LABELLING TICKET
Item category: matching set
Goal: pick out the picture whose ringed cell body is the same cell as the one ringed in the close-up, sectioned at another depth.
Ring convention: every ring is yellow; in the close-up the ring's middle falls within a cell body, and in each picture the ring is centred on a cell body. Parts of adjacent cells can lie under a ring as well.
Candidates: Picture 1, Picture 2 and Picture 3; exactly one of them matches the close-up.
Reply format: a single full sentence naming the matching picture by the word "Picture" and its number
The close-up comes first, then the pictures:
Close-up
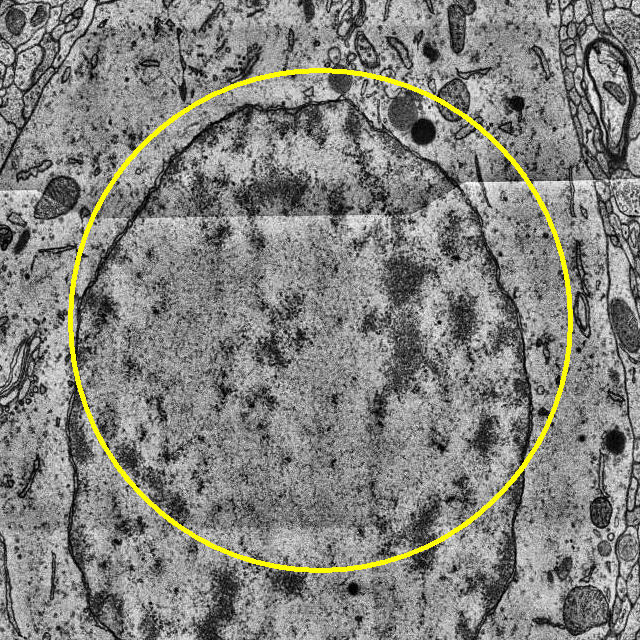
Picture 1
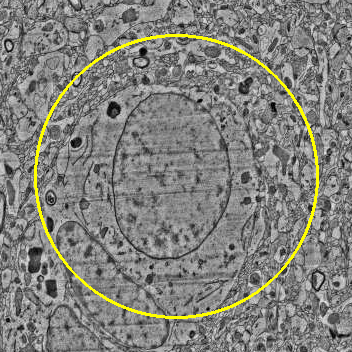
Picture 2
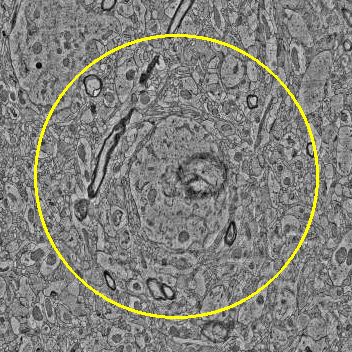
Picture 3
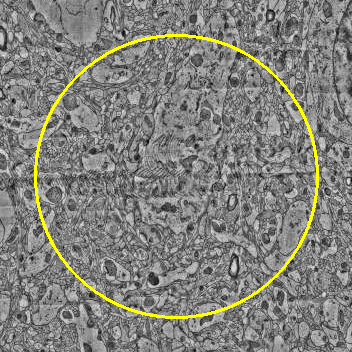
The cell of the close-up is the one in Picture 3.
